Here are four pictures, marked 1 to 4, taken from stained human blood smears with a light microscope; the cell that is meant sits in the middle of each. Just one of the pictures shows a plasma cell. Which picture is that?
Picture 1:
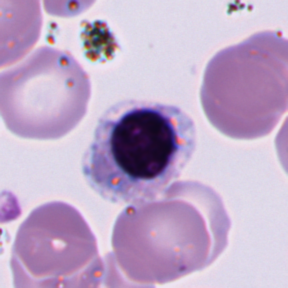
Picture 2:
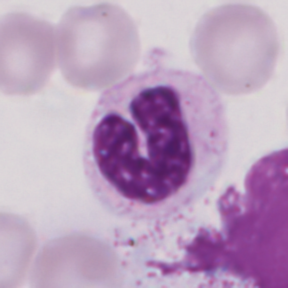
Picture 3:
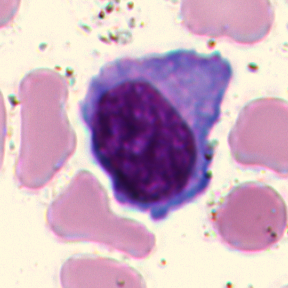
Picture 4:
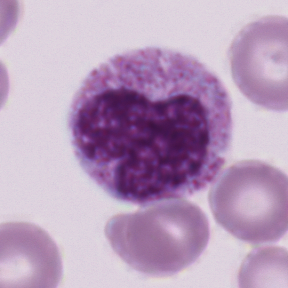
3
